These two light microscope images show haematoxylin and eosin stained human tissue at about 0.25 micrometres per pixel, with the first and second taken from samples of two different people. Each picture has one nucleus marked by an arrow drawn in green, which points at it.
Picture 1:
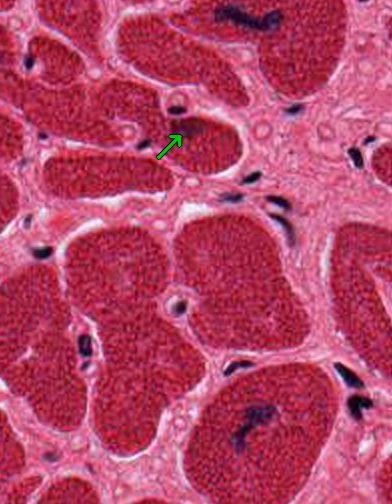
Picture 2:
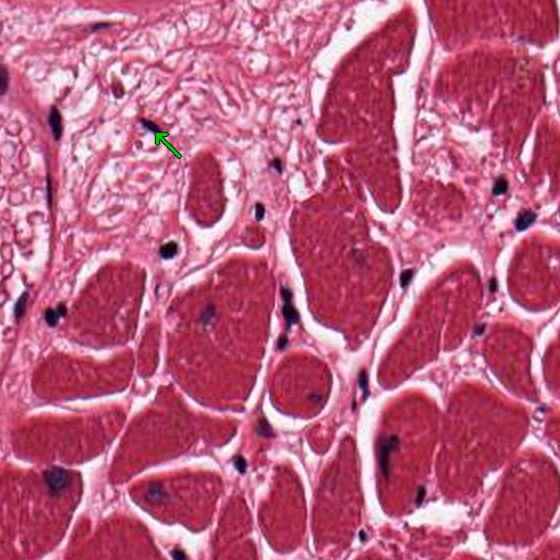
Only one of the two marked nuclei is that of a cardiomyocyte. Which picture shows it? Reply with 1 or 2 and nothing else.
1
